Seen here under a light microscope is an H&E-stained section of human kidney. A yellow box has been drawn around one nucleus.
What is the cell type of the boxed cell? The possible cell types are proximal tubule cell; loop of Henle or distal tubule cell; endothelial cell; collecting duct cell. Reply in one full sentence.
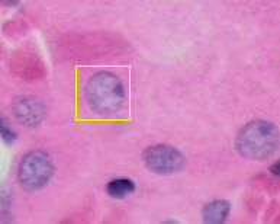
In the tissue at hand, the boxed cell is a proximal tubule cell.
